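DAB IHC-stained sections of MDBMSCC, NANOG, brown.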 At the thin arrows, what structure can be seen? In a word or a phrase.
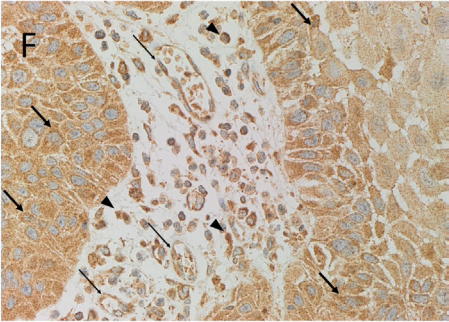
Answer: Endothelium of the microvessels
